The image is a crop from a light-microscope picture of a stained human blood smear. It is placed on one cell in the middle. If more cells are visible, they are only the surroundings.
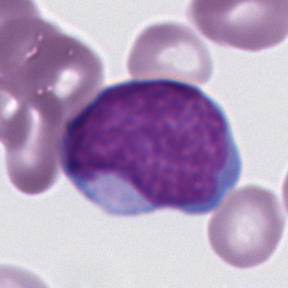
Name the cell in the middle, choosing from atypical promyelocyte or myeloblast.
myeloblast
